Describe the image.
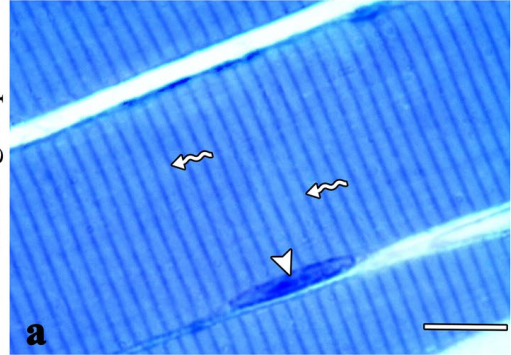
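Longitudinally cut skeletal muscle fibres stained blue show regular striated myofibrils, with evenly spaced light and dark cross-bands running across the whole fibre. A dark blue, elongated spindle-shaped nucleus lies flat at the periphery of the fibre, beneath its smooth, straight border.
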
